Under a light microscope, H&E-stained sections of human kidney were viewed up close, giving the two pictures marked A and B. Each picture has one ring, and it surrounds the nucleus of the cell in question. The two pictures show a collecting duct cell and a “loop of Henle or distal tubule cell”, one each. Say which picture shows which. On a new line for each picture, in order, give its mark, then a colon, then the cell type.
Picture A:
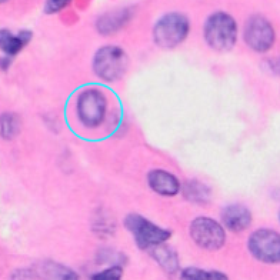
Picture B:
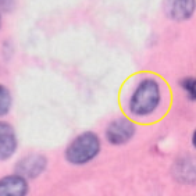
A: collecting duct cell
B: loop of Henle or distal tubule cell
